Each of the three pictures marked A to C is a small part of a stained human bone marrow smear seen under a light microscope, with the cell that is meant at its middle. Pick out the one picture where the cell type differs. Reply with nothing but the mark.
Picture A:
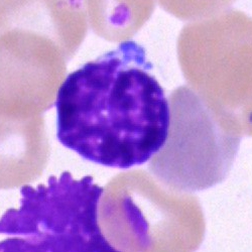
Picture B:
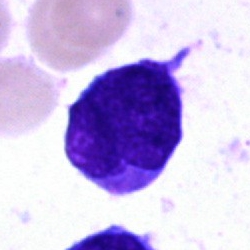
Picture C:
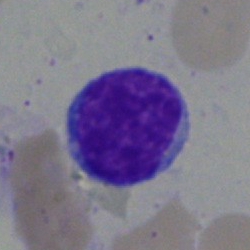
B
